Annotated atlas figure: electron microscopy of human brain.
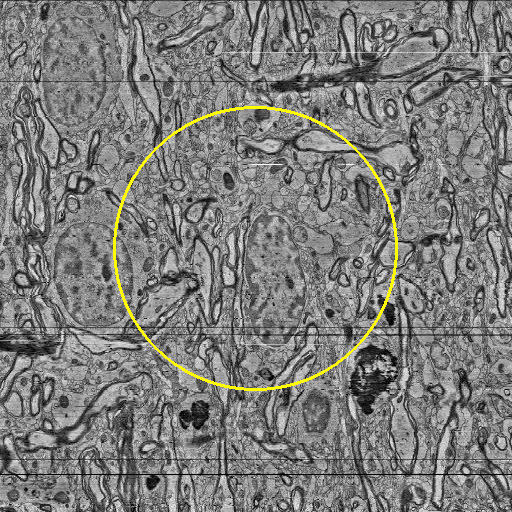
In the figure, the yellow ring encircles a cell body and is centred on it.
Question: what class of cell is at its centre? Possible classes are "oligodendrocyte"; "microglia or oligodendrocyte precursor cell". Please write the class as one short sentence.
The yellow ring is drawn around a microglial cell or oligodendrocyte precursor cell.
